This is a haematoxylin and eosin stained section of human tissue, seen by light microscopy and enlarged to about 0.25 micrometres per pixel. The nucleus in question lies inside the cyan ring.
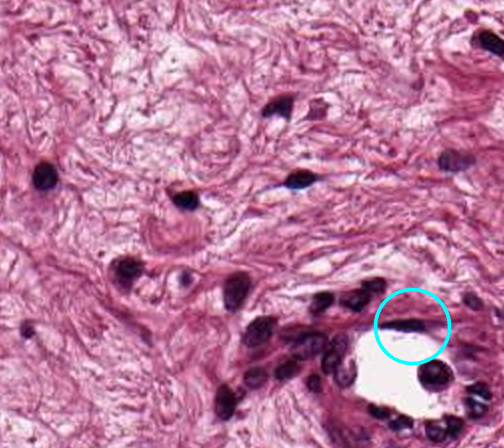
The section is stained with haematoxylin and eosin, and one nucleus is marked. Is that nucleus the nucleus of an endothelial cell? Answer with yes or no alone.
yes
